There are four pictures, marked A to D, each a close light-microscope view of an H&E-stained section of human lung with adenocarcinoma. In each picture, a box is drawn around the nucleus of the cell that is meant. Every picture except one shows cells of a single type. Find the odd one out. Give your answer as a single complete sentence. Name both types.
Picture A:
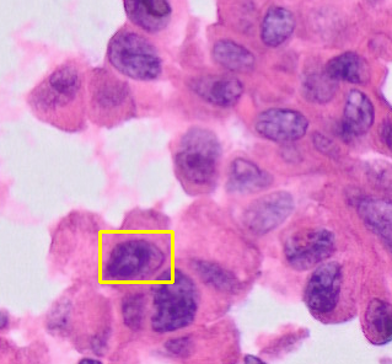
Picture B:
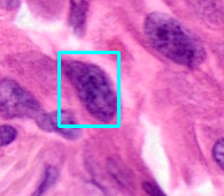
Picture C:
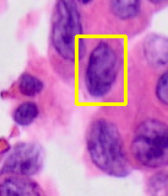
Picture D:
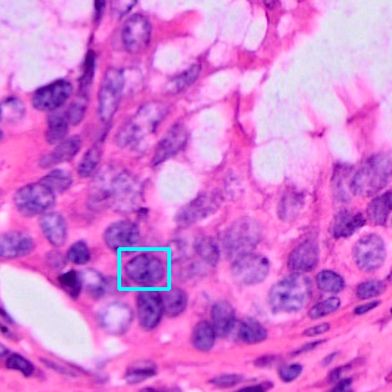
Unlike the rest, which show carcinoma cells, picture D shows a ciliated epithelial cell.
